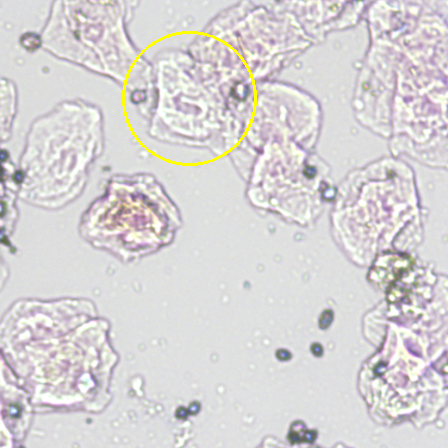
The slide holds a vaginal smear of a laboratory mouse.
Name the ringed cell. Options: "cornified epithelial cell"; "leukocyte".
cornified epithelial cell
